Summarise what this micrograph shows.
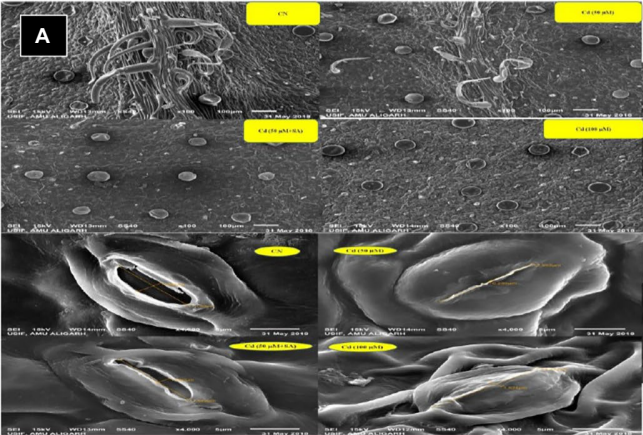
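The low-magnification images show the epidermis dotted with many round, dome-shaped peltate glandular trichomes, spread fairly evenly across the surface. In some of these images, long, twisted, hair-like outgrowths lie over the surface. The high-magnification images each show a single stoma: an elongated pore framed by two curved guard cells, raised slightly above the finely wrinkled epidermal surface. In some of them the pore gapes open, while in others it is only a narrow slit.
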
